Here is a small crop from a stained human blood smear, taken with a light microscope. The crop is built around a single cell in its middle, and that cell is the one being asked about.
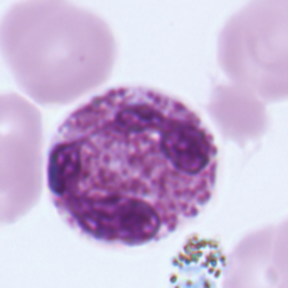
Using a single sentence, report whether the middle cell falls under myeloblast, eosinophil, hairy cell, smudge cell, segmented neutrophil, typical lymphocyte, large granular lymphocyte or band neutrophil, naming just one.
Regarding the central cell, it is an eosinophil.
